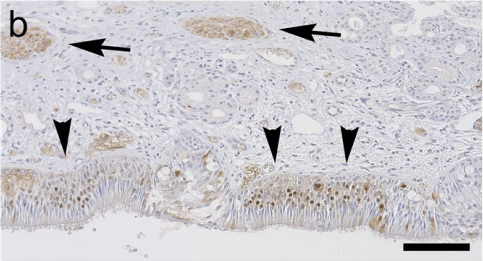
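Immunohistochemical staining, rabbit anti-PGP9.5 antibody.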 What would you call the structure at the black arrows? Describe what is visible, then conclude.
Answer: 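The arrows point to rounded brown-stained bundles in the connective tissue beneath the epithelium. The bundles are compact, oval, and larger than the surrounding single cells. On this evidence: olfactory nerve bundles.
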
